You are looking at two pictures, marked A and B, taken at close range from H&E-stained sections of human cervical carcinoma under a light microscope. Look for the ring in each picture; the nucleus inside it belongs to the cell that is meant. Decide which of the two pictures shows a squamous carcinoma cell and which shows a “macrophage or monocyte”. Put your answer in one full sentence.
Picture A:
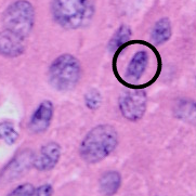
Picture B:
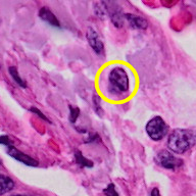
Picture B shows a “macrophage or monocyte”, while picture A shows a squamous carcinoma cell.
